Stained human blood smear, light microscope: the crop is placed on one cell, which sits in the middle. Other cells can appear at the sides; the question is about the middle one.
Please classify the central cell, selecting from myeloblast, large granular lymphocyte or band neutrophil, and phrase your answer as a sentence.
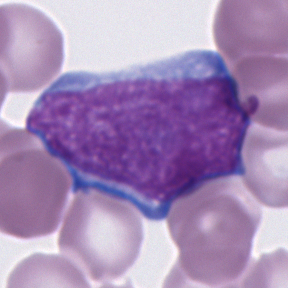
The cell positioned in the middle of the field is a myeloblast.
